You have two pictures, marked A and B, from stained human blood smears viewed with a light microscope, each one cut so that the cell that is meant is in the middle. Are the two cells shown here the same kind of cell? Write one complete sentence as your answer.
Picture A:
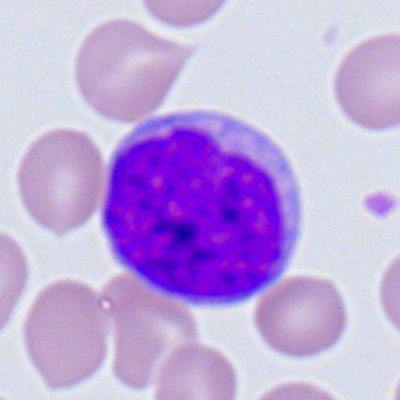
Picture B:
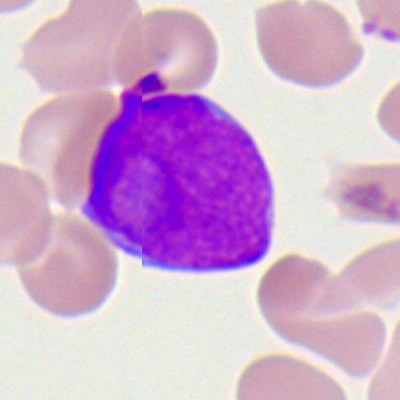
Yes, they are the same type: both are myeloblasts.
